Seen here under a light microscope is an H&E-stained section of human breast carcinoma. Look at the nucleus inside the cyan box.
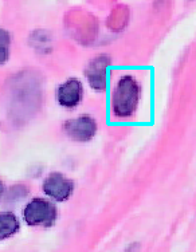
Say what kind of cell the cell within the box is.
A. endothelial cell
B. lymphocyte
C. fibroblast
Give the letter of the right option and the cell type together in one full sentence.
Option B is the right one; the cell within the box is a lymphocyte.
